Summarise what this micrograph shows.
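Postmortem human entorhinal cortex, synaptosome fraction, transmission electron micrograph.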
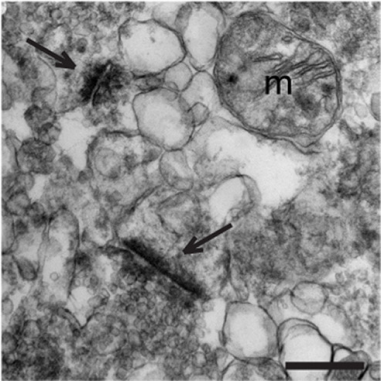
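At the upper right lies a mitochondrion, an oval organelle bounded by a double membrane with internal cristae. Granular and membranous debris fills the spaces between the profiles.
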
